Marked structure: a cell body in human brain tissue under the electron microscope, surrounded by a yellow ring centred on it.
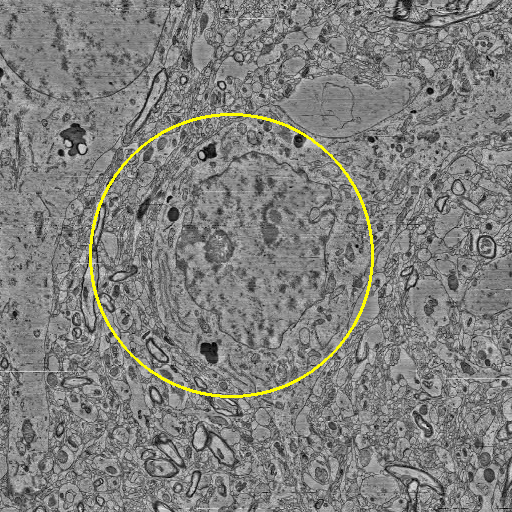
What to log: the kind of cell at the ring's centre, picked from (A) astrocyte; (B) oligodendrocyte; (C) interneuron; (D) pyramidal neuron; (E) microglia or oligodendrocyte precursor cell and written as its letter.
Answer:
C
